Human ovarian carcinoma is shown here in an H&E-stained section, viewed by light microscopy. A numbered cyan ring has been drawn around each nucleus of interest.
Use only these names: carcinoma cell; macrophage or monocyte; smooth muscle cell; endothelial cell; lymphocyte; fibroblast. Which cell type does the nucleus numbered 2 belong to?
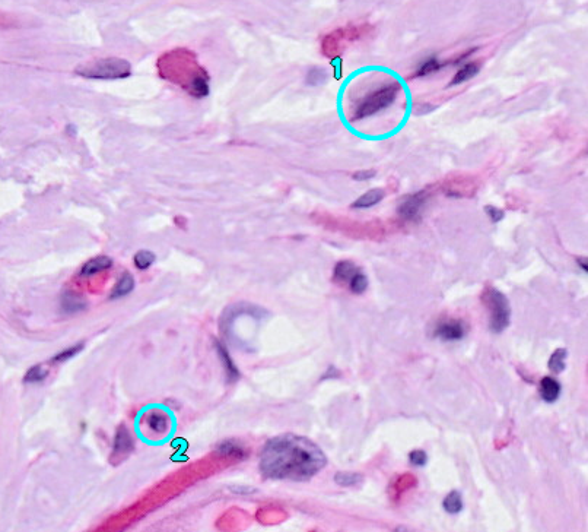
endothelial cell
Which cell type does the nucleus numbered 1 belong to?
fibroblast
